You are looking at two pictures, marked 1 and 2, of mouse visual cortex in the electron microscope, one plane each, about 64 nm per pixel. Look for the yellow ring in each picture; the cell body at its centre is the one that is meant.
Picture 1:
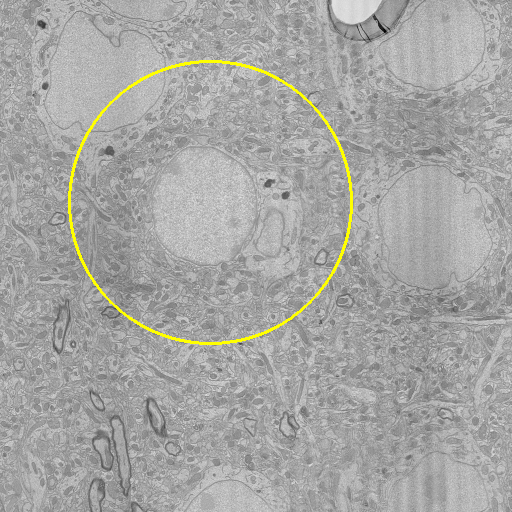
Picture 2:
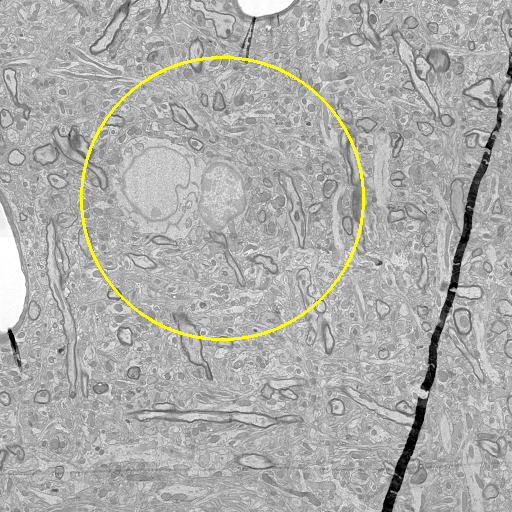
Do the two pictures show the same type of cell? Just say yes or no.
no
